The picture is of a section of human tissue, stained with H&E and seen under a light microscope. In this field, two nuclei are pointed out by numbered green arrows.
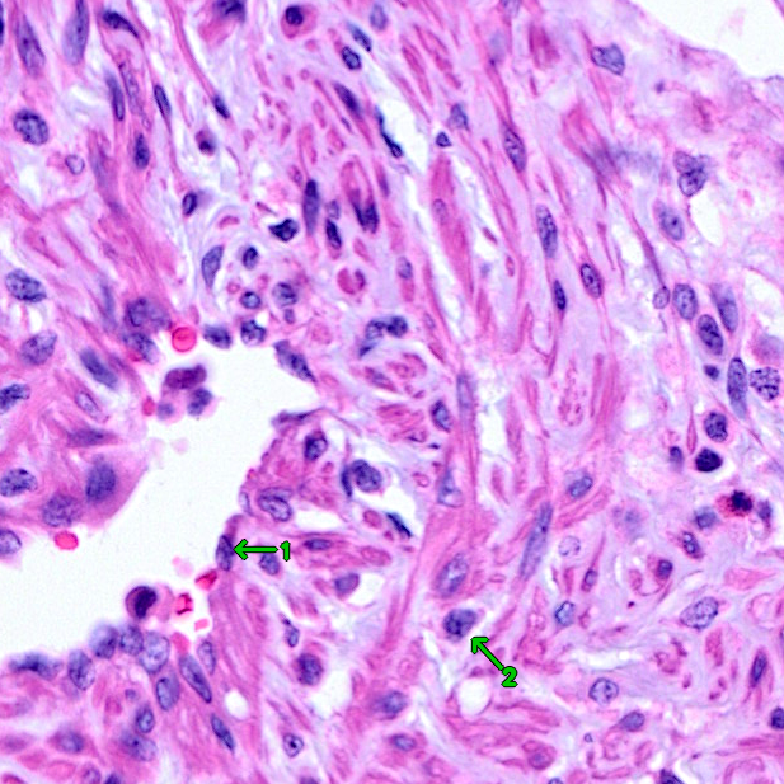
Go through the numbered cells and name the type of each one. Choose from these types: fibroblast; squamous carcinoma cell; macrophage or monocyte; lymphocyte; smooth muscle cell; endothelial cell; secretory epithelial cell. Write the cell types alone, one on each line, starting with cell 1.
endothelial cell
macrophage or monocyte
